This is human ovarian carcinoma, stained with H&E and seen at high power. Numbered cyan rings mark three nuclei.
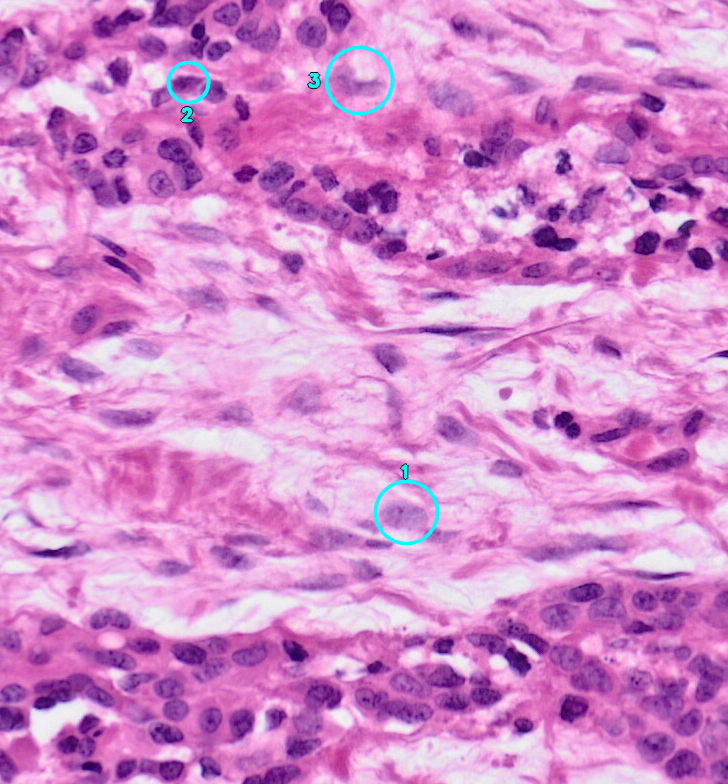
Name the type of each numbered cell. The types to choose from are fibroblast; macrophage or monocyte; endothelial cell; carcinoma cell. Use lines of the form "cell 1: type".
cell 1: fibroblast
cell 2: carcinoma cell
cell 3: fibroblast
